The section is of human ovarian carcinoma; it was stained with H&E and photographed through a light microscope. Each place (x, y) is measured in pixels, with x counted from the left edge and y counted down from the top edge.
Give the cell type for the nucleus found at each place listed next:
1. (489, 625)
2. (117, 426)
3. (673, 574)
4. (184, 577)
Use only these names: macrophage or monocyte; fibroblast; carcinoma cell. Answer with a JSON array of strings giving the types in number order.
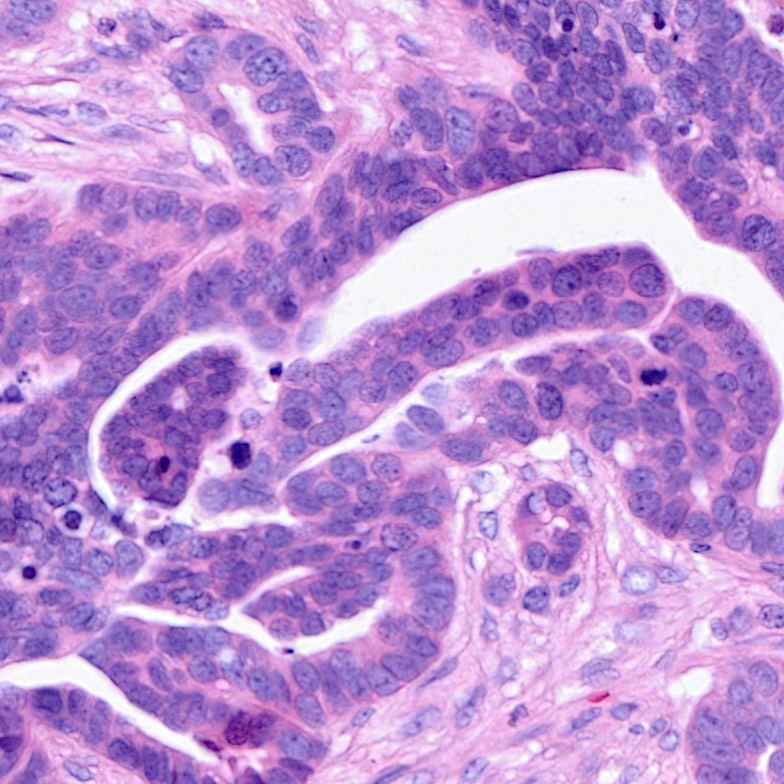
["fibroblast", "carcinoma cell", "fibroblast", "carcinoma cell"]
